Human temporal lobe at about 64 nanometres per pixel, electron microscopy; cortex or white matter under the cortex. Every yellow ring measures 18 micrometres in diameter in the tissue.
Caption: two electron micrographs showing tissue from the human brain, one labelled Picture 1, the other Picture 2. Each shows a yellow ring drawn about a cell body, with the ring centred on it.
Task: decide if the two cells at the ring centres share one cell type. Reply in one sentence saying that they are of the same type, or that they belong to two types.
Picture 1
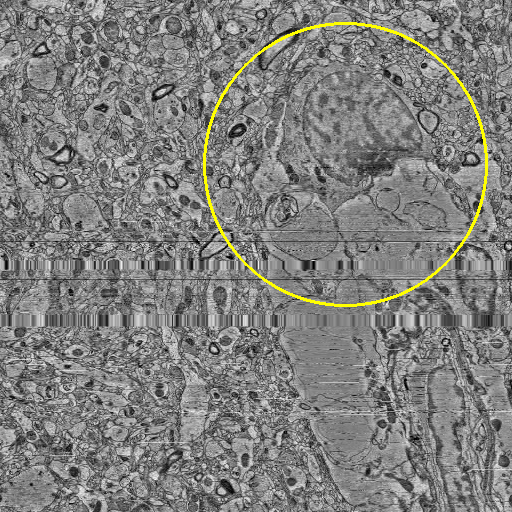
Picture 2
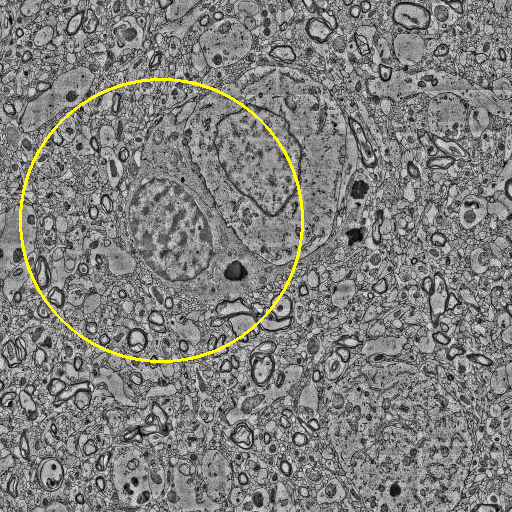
The cells at the ring centres in Picture 1 and Picture 2 are of the same type.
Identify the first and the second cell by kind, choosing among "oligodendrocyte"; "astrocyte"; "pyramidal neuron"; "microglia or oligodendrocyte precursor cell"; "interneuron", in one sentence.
Both rings mark an oligodendrocyte, one in each picture.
